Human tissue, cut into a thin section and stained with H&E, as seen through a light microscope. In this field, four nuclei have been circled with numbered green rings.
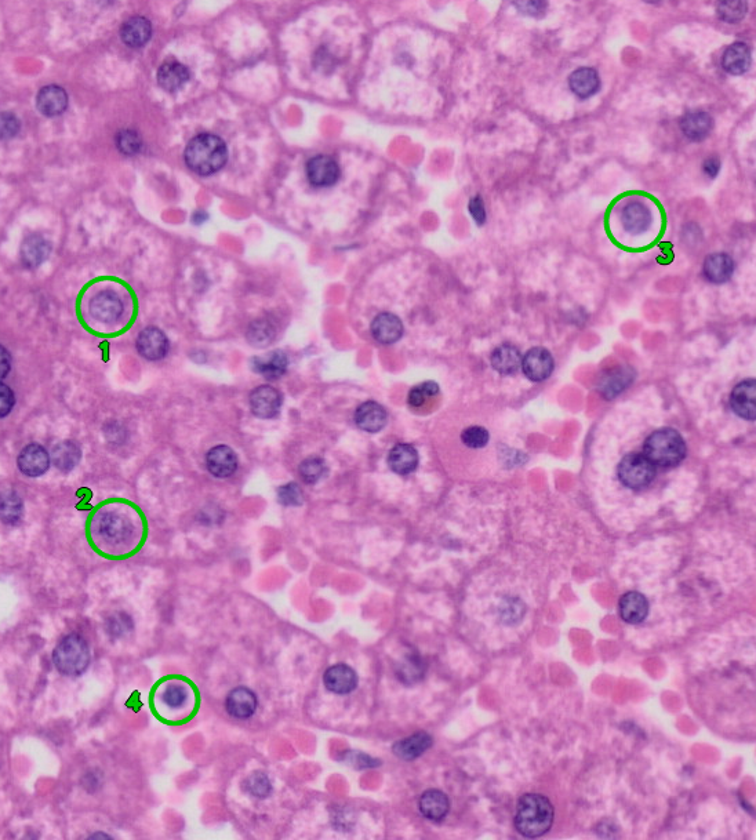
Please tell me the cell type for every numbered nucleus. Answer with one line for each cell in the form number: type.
1: hepatocyte
2: hepatocyte
3: hepatocyte
4: lymphocyte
